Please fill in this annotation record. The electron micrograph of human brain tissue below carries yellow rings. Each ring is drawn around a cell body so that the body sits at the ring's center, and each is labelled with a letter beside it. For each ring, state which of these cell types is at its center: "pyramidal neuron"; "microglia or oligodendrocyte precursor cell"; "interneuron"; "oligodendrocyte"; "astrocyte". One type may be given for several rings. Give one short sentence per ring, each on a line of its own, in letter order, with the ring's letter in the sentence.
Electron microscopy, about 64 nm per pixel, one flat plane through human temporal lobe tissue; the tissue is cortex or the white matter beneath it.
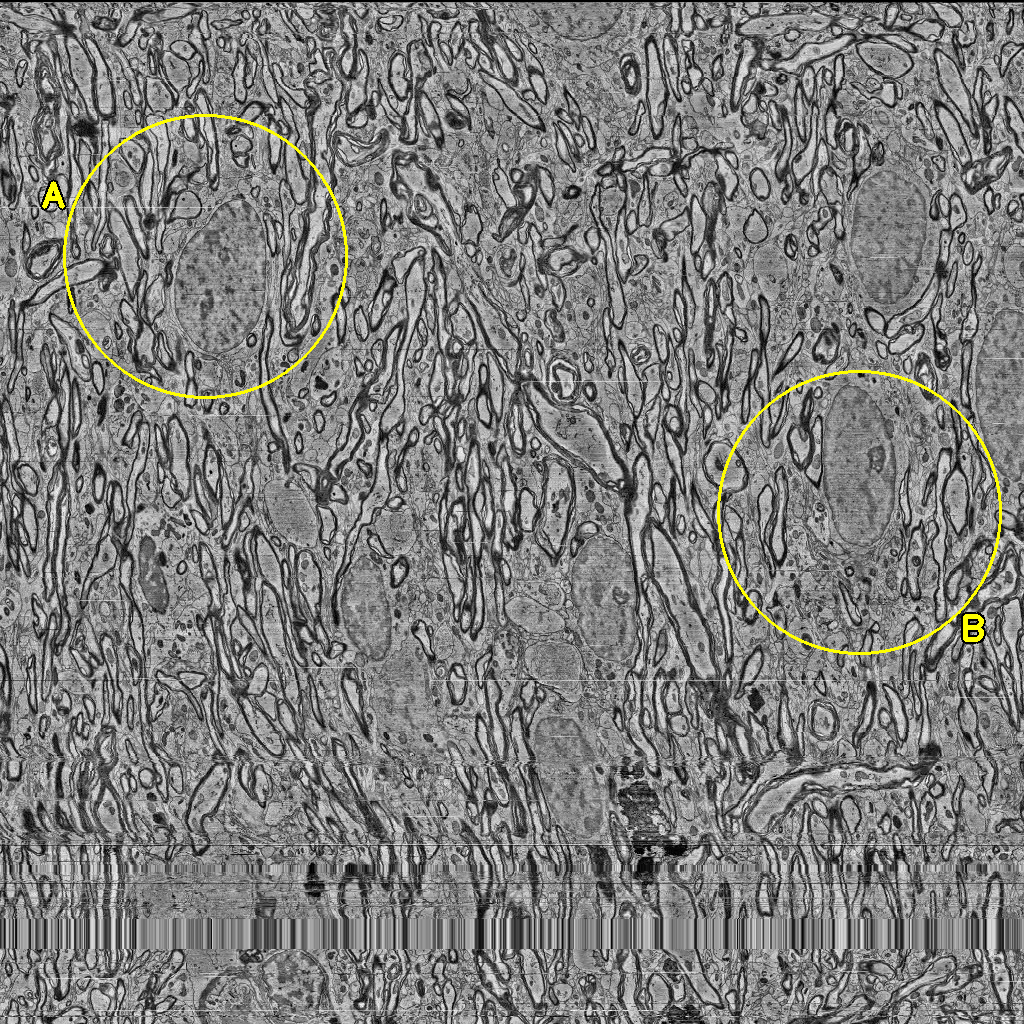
Ring A is drawn around a microglial cell or oligodendrocyte precursor cell.
Ring B is drawn around an oligodendrocyte.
